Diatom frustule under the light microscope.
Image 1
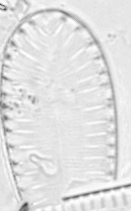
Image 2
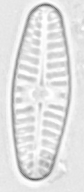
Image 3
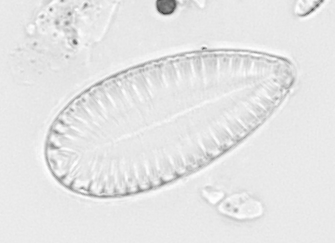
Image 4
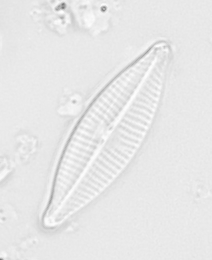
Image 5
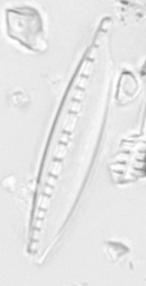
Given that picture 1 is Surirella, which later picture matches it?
3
